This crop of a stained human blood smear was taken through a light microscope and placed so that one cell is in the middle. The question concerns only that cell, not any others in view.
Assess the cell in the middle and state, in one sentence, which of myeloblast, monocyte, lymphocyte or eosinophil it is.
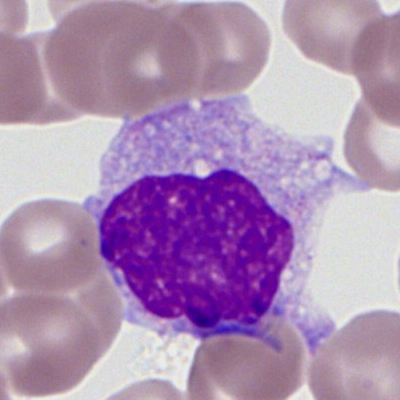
In the center of this field lies a monocyte.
